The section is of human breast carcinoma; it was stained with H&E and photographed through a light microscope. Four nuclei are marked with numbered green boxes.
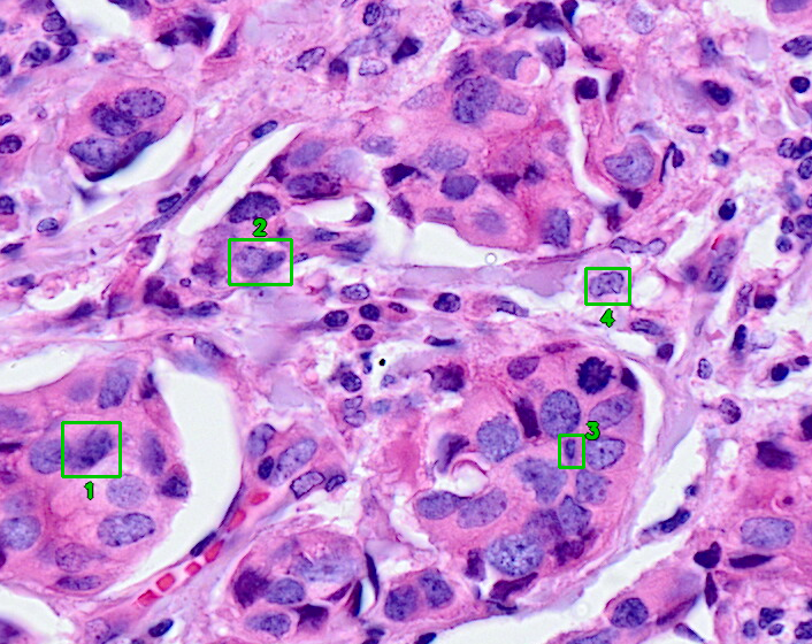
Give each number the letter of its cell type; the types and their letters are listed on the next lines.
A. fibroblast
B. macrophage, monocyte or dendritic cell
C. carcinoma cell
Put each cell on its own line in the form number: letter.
1: C
2: C
3: C
4: B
